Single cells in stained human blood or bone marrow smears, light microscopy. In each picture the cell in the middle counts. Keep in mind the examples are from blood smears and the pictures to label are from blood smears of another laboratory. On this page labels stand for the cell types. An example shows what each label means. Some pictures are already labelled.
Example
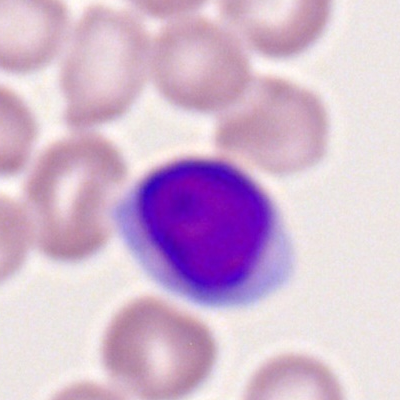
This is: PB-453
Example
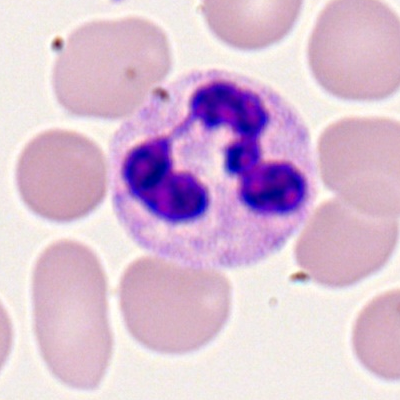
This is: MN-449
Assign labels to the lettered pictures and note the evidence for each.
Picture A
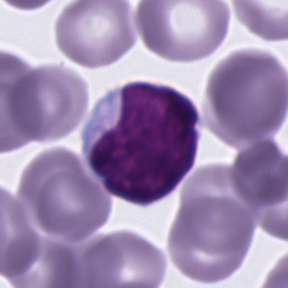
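Label: PB-453. The cytoplasm forms a narrow crescent on the upper-left side only.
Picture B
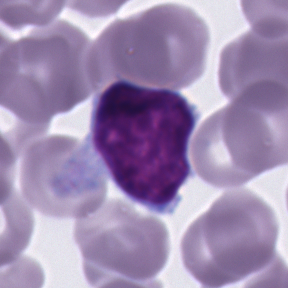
Label: PB-453. The cytoplasm forms only a thin rim around most of the nucleus.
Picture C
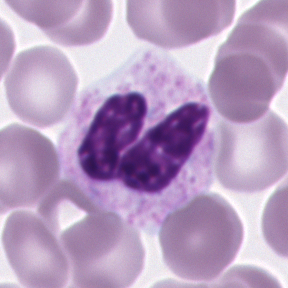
Label: MN-449. The nucleus is divided into two lobes.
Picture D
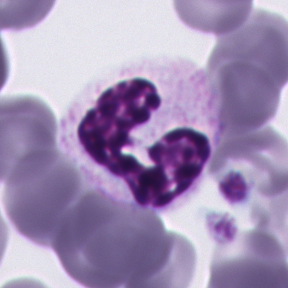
Label: MN-449. The cytoplasm is abundant and pale pinkish-lilac.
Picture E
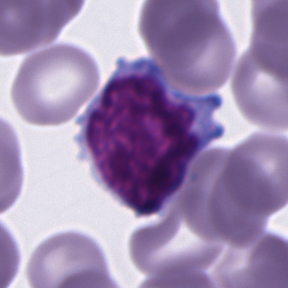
Label: PB-453. The nucleus fills most of the cell.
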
